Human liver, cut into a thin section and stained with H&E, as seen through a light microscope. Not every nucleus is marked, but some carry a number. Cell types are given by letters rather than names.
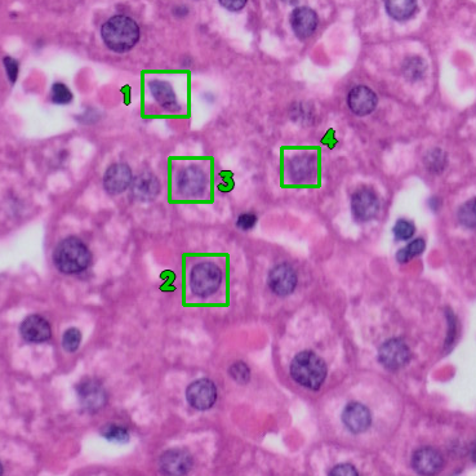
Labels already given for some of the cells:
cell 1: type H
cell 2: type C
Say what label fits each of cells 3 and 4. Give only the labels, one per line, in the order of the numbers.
type C
type C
